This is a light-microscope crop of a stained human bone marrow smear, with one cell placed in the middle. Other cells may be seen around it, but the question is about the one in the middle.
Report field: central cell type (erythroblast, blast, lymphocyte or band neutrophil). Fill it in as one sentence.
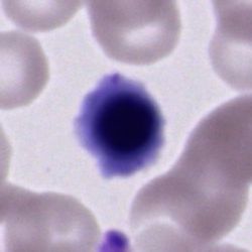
Occupying the centre of the crop is an erythroblast.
